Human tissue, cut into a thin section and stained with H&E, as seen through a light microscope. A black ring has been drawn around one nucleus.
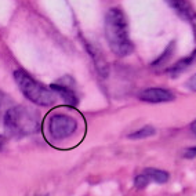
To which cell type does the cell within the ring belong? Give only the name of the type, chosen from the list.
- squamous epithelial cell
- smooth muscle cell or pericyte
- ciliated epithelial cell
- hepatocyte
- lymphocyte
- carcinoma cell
ciliated epithelial cell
